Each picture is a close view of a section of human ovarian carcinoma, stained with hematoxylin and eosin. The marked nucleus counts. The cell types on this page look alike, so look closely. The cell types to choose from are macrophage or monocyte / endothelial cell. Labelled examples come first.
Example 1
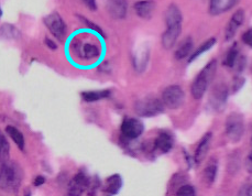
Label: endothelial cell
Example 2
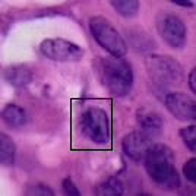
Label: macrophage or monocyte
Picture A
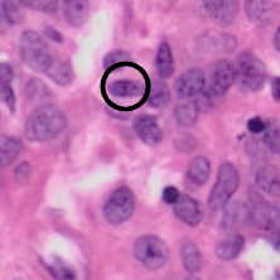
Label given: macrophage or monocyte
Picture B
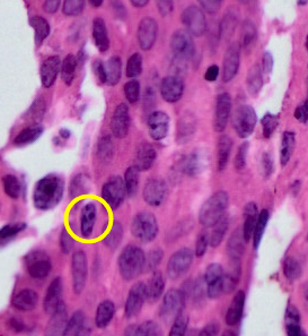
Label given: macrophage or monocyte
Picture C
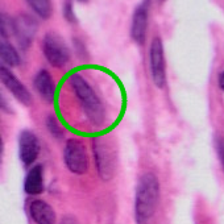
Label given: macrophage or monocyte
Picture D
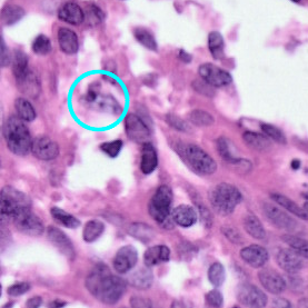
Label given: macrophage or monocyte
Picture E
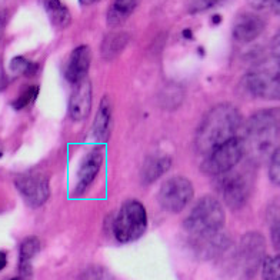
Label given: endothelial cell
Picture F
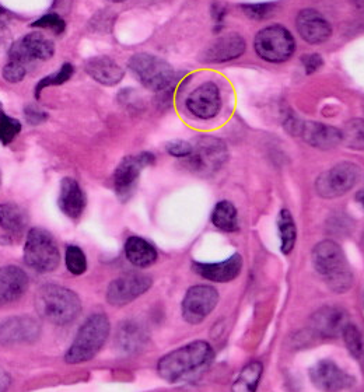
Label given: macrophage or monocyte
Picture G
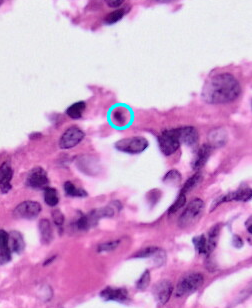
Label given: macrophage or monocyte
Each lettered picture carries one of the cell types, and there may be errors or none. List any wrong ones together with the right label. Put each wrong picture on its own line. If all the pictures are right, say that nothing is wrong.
C: change macrophage or monocyte to endothelial cell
